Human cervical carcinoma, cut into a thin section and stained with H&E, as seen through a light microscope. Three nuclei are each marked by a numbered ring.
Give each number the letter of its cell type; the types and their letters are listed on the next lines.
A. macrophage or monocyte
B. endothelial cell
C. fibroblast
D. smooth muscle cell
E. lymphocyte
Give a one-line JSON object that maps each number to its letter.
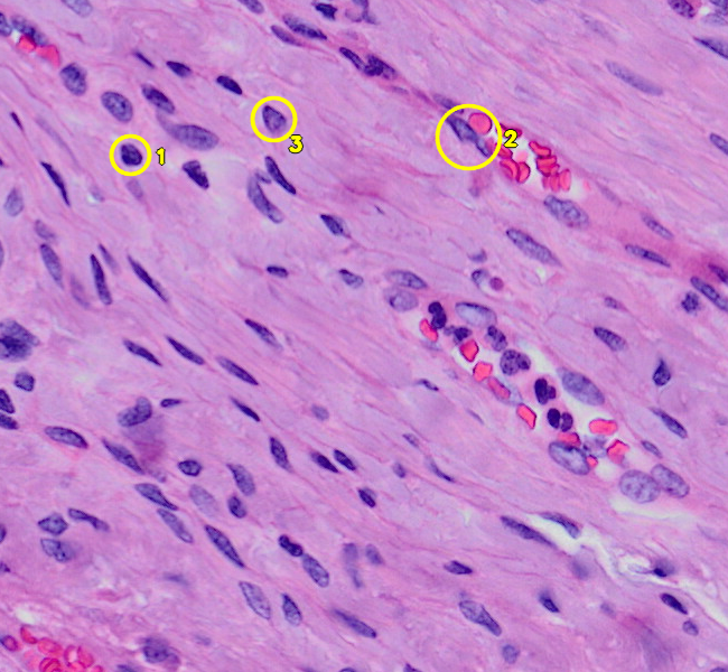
{"1": "E", "2": "B", "3": "C"}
